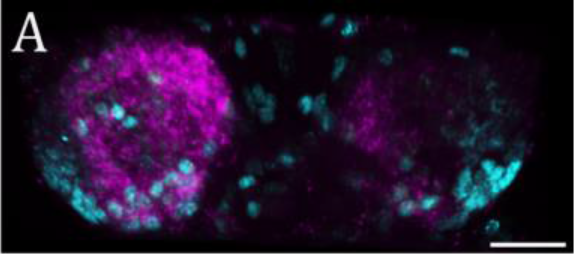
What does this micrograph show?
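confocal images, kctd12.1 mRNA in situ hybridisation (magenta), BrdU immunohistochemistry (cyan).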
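A paired, bilaterally placed brain region is seen from above as two rounded lobes. The left lobe is larger and more densely filled with diffuse magenta signal, while the right lobe shows only weak, patchy magenta. Scattered round cyan nuclei lie in both lobes, more of them on the left side, and some also lie in the midline tissue between the lobes.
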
